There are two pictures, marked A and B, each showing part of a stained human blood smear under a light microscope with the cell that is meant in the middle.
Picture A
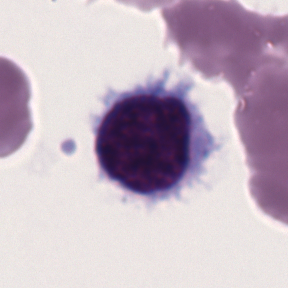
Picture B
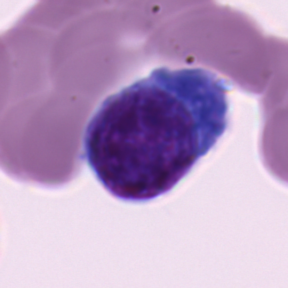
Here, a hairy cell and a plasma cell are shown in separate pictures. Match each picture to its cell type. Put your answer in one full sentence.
Picture A is of a hairy cell, and picture B is of a plasma cell.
